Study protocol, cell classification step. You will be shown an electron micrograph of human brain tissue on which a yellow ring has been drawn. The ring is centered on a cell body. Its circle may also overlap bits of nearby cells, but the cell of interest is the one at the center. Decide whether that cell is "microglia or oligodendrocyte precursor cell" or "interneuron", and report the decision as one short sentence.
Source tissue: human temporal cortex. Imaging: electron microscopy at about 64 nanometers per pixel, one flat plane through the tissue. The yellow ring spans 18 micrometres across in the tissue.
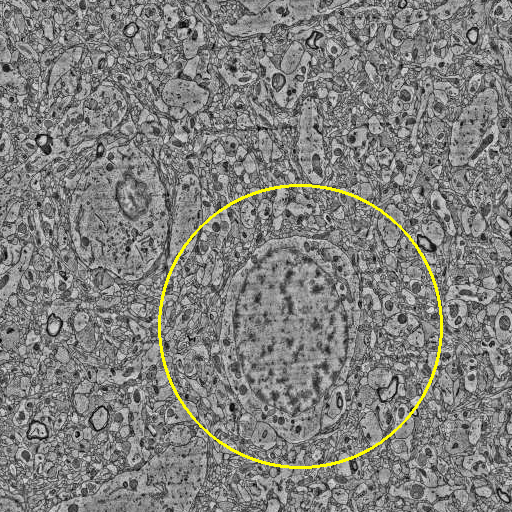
The marked cell is an interneuron.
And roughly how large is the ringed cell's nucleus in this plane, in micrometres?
Roughly 11 micrometres by 7 micrometres, in this plane.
